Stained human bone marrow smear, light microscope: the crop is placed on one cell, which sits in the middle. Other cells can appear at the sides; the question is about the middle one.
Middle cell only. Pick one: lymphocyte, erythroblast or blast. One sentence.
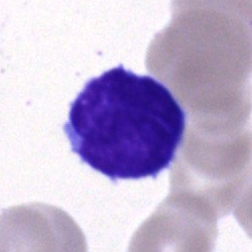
The middle cell in this particular crop is a lymphocyte.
